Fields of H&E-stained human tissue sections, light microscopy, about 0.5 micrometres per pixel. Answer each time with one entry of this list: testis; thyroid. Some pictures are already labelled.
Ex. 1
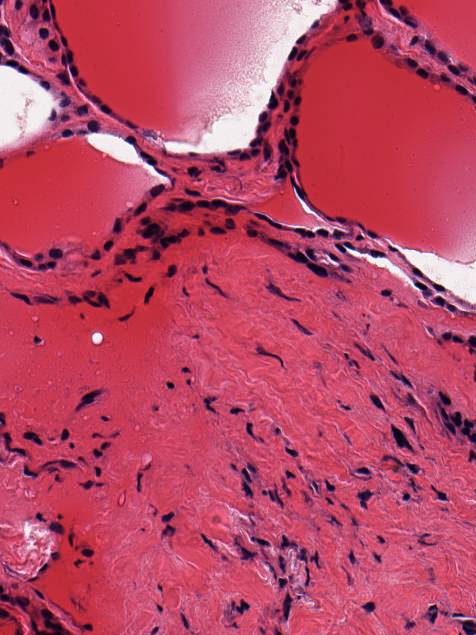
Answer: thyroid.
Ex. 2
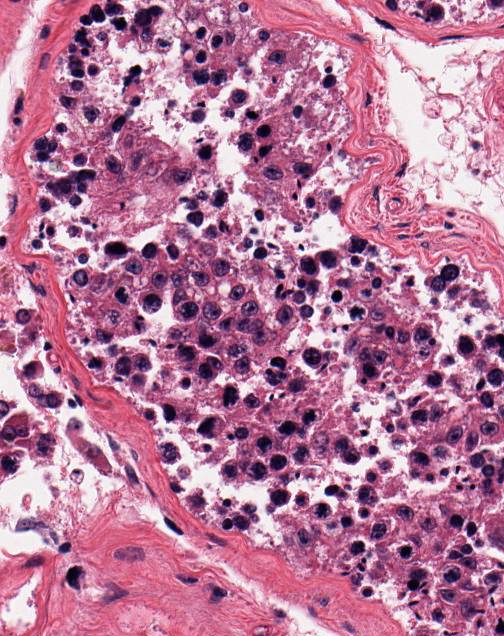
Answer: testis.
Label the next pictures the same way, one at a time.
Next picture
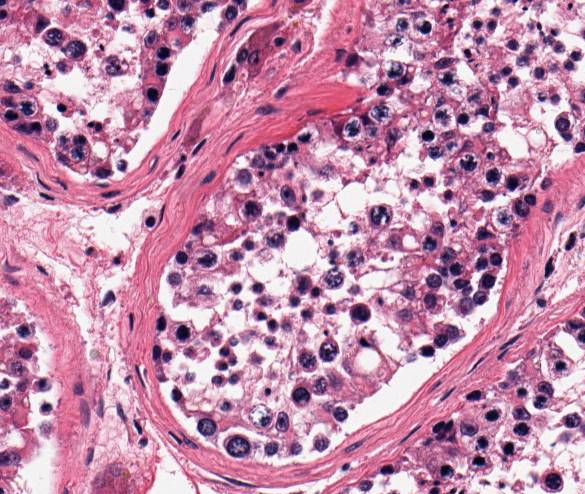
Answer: testis.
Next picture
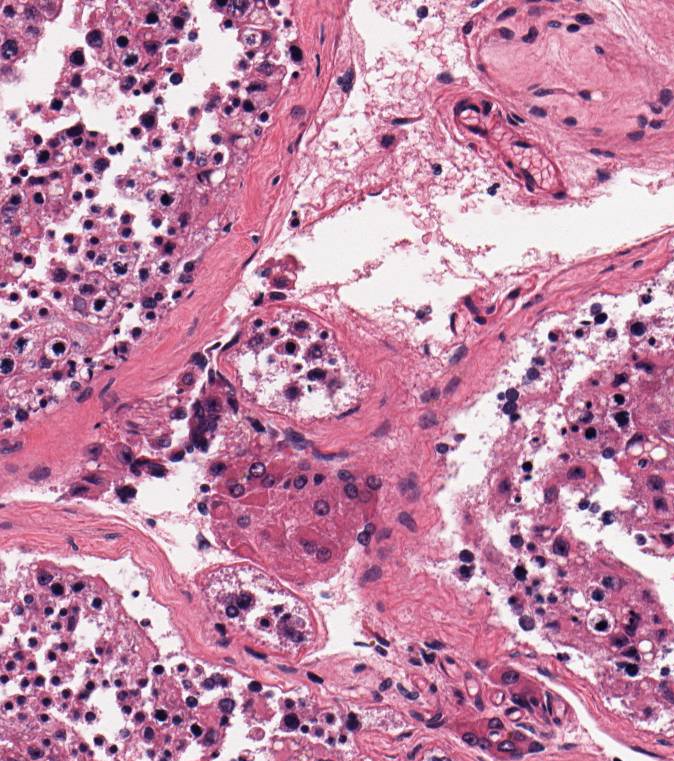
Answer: testis.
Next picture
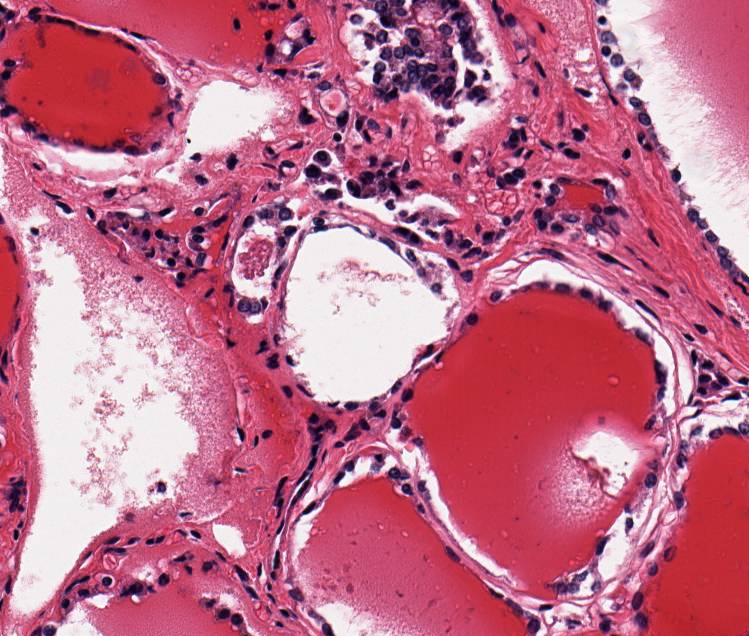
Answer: thyroid.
